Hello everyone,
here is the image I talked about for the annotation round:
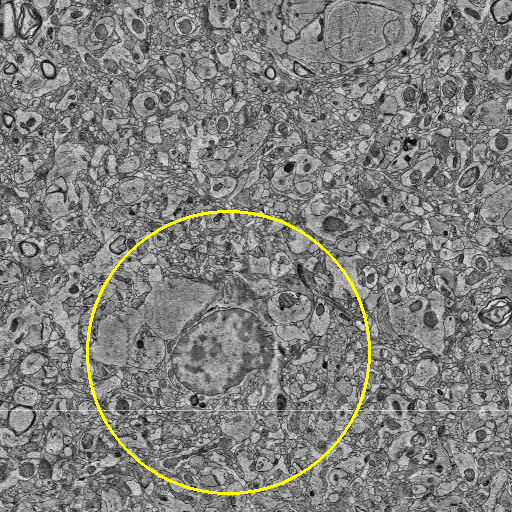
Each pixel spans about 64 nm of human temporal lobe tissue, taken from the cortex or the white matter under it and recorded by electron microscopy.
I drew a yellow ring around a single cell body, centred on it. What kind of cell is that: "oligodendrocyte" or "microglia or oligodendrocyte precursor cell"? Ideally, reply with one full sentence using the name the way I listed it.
The cell your yellow ring is centred on is a microglial cell or oligodendrocyte precursor cell, going by your list.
